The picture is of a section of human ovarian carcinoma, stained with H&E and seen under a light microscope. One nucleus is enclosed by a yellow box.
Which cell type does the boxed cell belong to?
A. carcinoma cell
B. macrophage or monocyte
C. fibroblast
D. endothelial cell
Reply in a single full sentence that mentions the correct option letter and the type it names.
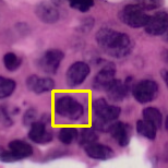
The right option is A, the boxed cell being a carcinoma cell.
